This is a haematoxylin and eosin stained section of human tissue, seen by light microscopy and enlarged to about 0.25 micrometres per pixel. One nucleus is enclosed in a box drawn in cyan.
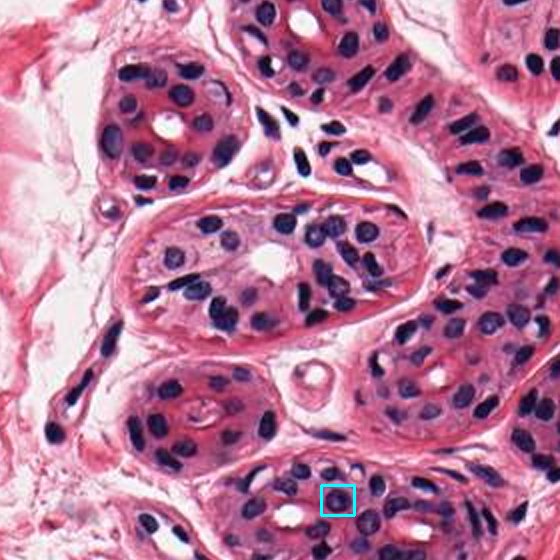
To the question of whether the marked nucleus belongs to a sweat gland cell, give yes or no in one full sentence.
Yes, the cell that houses the marked nucleus is a sweat gland cell.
